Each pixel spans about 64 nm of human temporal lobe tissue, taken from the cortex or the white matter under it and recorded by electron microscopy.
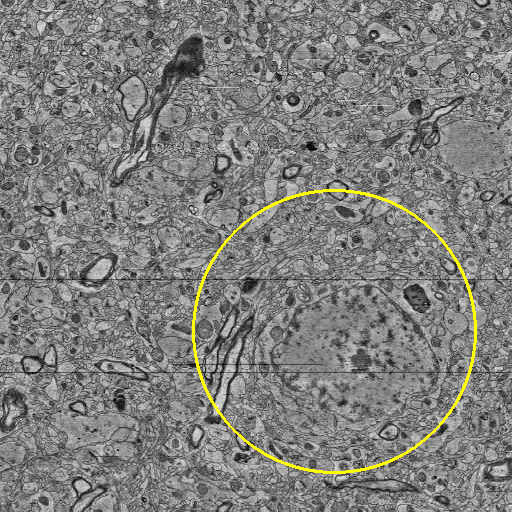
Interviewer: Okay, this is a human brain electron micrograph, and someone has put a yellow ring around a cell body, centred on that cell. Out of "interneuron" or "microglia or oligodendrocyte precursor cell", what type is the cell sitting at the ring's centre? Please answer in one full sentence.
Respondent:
The cell at the centre of the yellow ring in this picture is an interneuron.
